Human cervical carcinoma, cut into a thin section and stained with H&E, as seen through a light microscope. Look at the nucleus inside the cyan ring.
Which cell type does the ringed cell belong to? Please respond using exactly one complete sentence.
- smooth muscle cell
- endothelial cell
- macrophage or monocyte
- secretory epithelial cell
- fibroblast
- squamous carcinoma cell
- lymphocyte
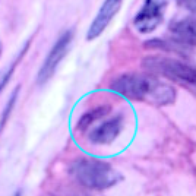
In this preparation, the ringed cell is a secretory epithelial cell.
